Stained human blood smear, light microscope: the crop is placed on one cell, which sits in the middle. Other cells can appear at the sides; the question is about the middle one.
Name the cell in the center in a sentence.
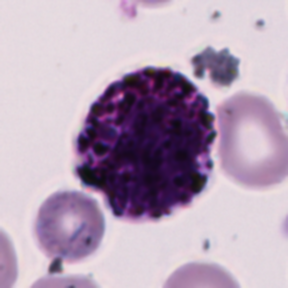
In short, the cell at the center is a basophil.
